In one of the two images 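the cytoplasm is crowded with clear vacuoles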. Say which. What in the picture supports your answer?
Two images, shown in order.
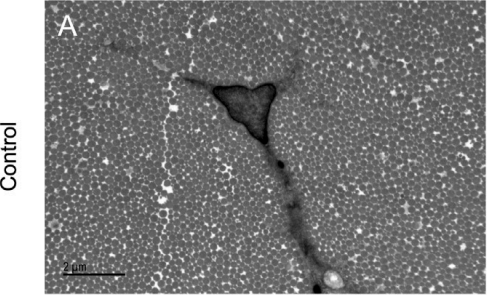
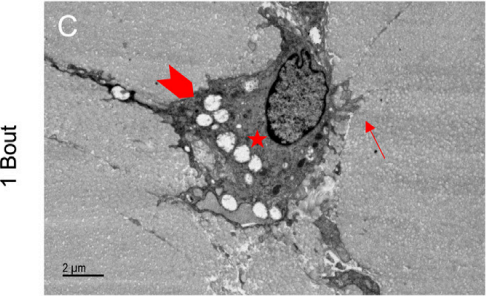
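First image: a small, uniformly dark cell with no clear vacuoles. Second image: a large cell whose cytoplasm contains many round clear vacuoles.
The second image.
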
